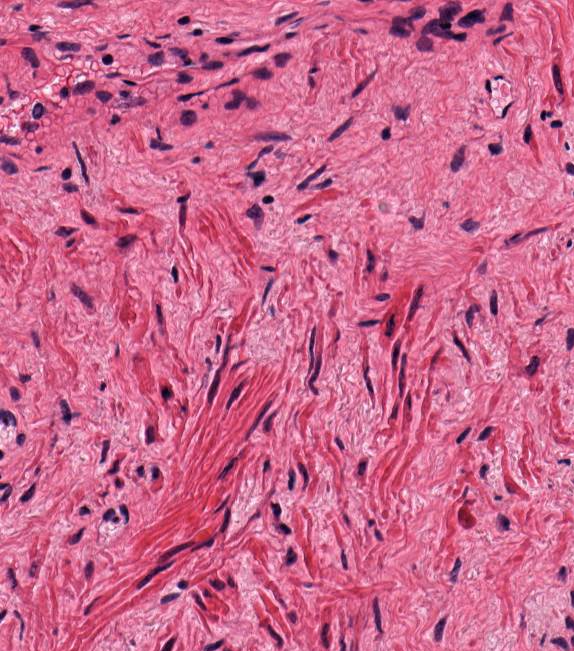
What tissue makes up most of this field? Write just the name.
fibromuscular stroma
